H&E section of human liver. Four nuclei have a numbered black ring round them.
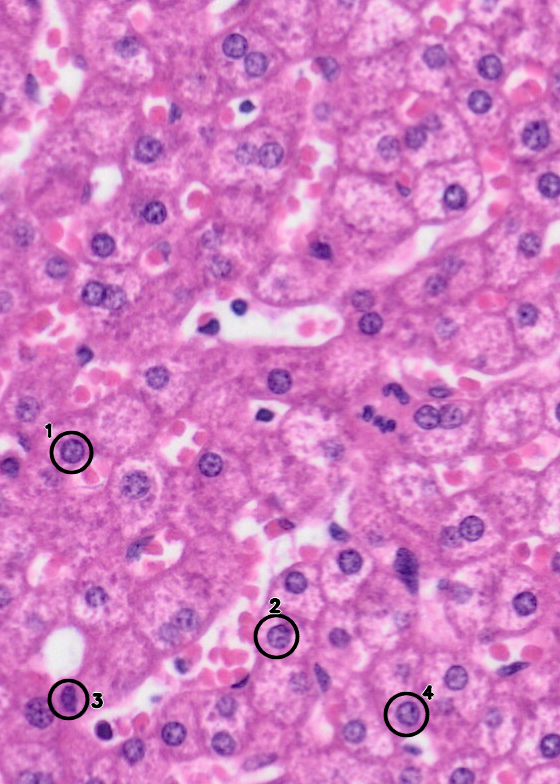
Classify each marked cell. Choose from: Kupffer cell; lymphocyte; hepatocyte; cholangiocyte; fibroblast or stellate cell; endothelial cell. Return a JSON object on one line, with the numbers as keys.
{"1": "hepatocyte", "2": "hepatocyte", "3": "fibroblast or stellate cell", "4": "hepatocyte"}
